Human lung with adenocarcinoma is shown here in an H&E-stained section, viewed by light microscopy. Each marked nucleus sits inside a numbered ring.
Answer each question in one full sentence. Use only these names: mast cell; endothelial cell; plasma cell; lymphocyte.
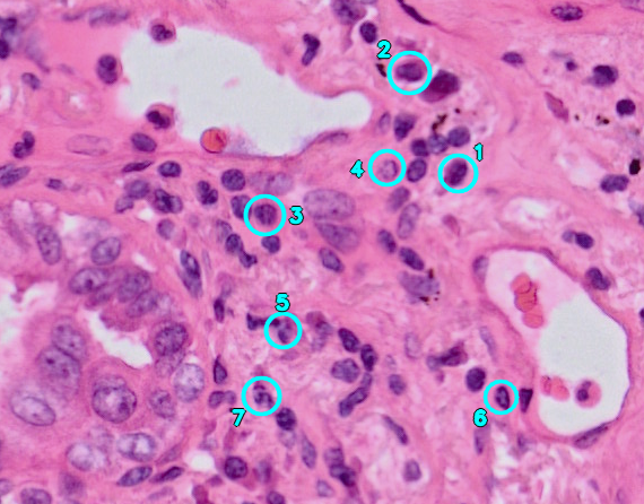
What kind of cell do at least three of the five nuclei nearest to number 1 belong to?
The majority of the five nuclei closest to number 1 belong to lymphocytes.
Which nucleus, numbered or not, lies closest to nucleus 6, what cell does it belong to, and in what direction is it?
An endothelial cell lies closest, to the right of nucleus 6.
